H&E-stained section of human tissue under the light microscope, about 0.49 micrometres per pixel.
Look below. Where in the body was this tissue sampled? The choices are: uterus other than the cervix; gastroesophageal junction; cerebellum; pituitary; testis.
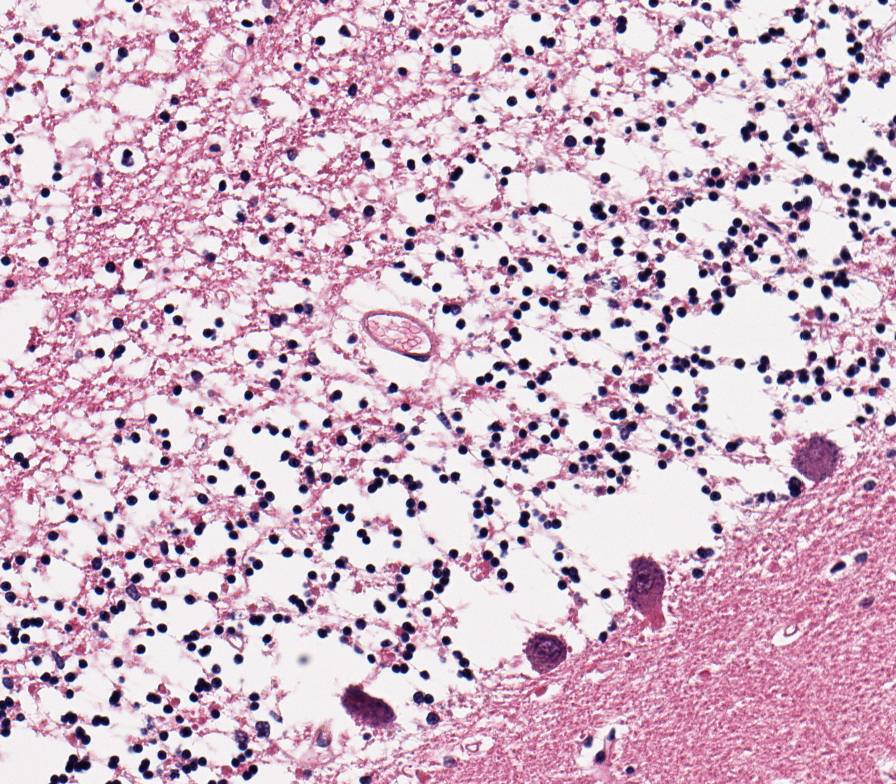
cerebellum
